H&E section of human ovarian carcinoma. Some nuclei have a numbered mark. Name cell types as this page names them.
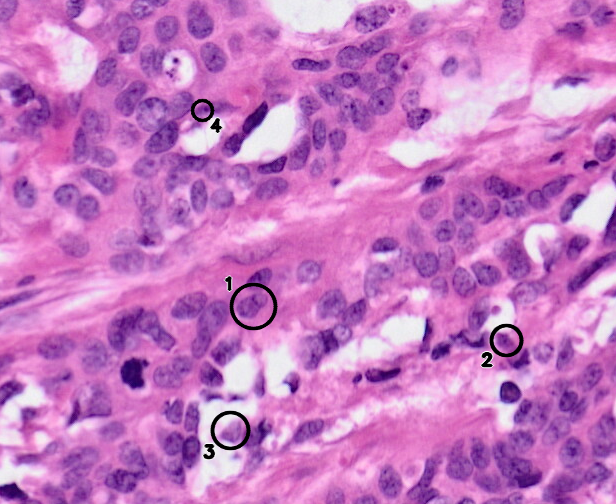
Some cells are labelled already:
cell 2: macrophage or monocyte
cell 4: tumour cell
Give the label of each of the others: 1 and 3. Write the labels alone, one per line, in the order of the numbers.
tumour cell
tumour cell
